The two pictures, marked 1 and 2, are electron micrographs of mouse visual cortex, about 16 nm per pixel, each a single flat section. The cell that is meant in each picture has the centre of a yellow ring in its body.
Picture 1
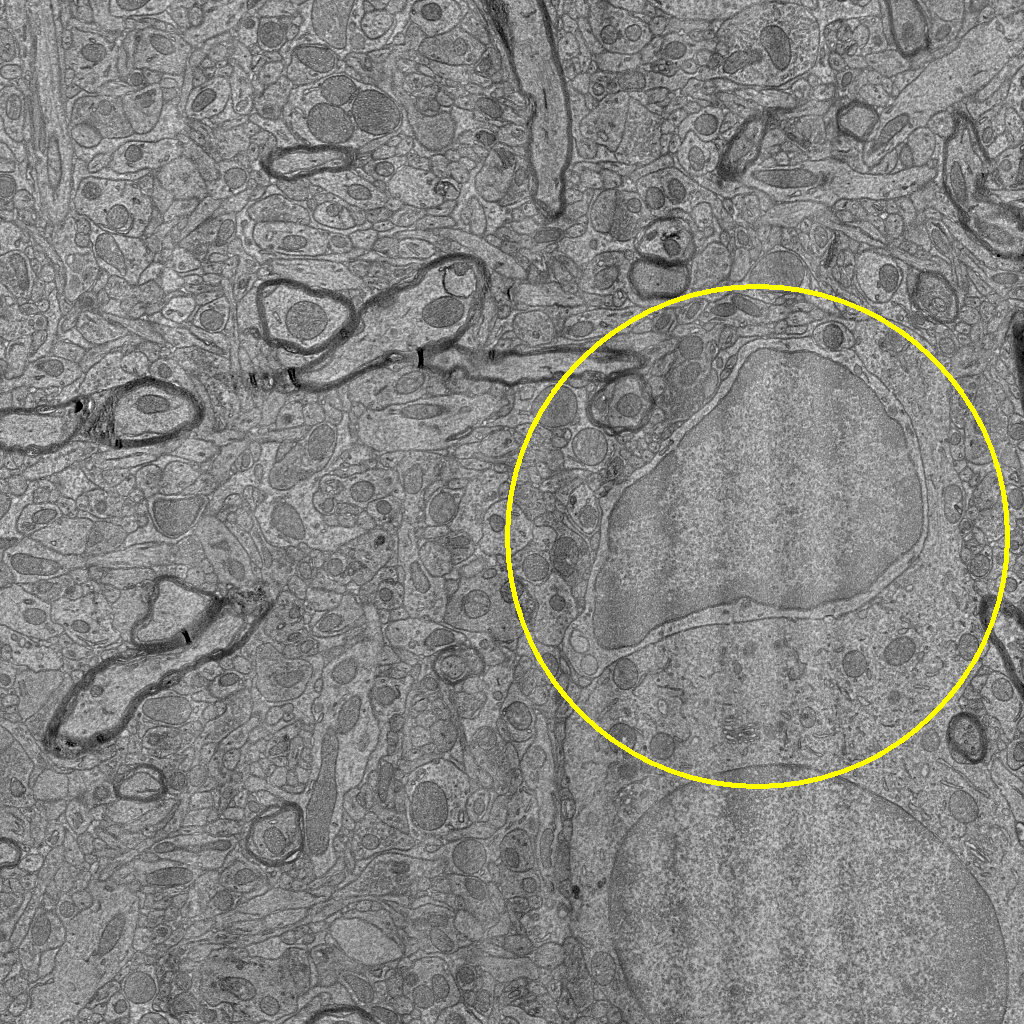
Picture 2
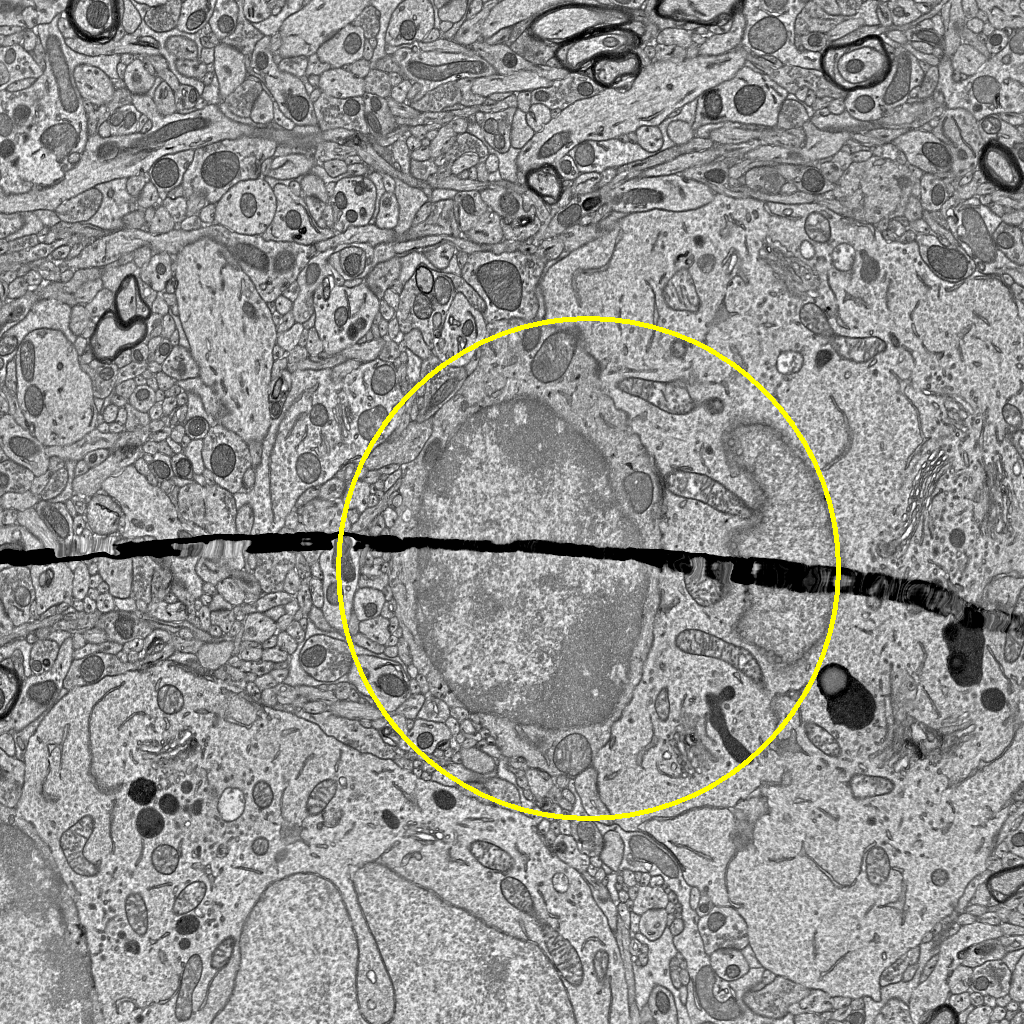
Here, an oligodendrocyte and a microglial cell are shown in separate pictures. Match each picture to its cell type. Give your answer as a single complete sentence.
Picture 2 shows an oligodendrocyte, while picture 1 shows a microglial cell.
